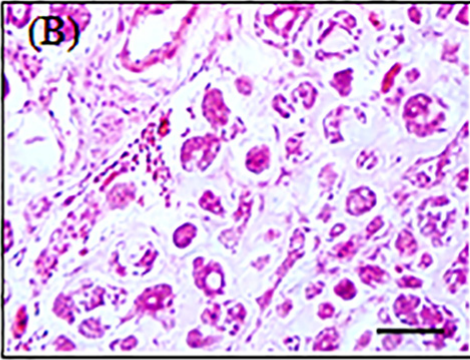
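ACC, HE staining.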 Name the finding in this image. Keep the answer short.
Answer: Tubular growth patterns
